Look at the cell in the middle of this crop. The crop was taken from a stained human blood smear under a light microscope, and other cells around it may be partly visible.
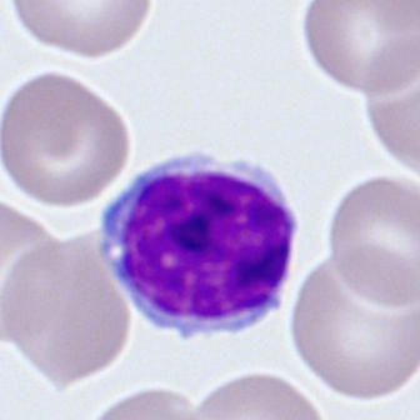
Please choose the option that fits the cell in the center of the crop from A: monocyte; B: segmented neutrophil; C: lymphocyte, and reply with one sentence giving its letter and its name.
The best answer is option C, since the cell in the middle is a lymphocyte.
